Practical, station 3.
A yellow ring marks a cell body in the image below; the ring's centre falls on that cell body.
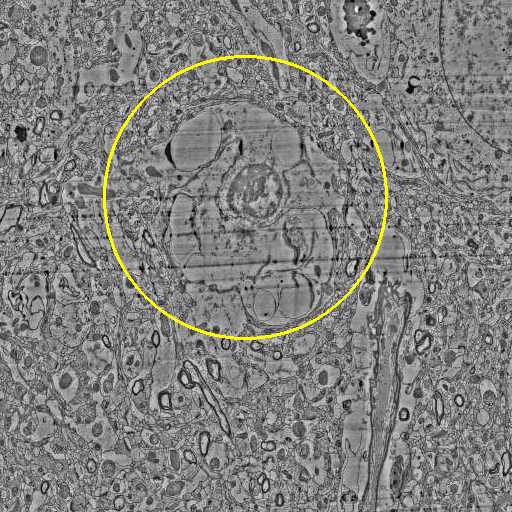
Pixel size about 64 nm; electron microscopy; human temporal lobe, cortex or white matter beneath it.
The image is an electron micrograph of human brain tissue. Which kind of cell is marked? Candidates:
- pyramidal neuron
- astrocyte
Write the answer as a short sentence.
The marked cell body is that of an astrocyte.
